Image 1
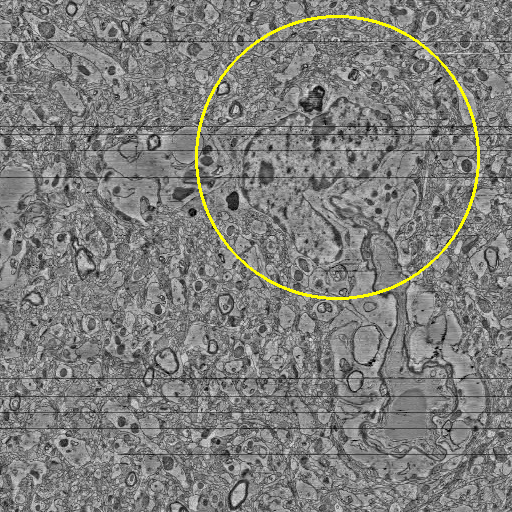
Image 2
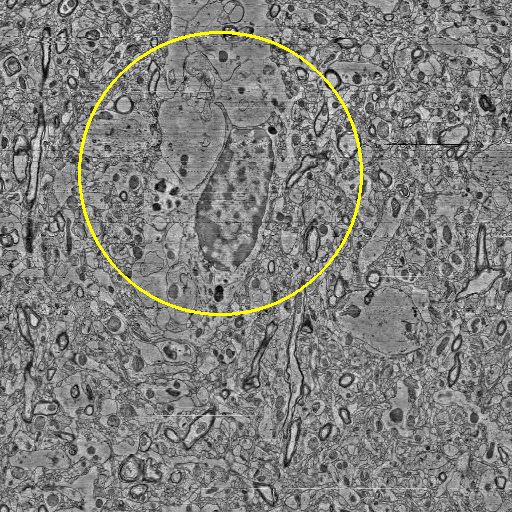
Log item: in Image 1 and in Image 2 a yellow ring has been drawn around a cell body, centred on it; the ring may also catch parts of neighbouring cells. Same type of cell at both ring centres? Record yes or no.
yes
